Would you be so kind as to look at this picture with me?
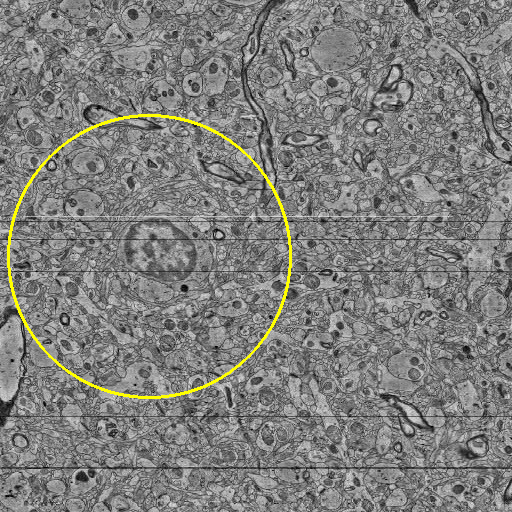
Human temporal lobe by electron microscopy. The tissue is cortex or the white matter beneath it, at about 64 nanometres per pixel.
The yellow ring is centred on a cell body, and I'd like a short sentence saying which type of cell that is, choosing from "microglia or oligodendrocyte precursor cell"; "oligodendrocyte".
The cell body in the ring belongs to an oligodendrocyte.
